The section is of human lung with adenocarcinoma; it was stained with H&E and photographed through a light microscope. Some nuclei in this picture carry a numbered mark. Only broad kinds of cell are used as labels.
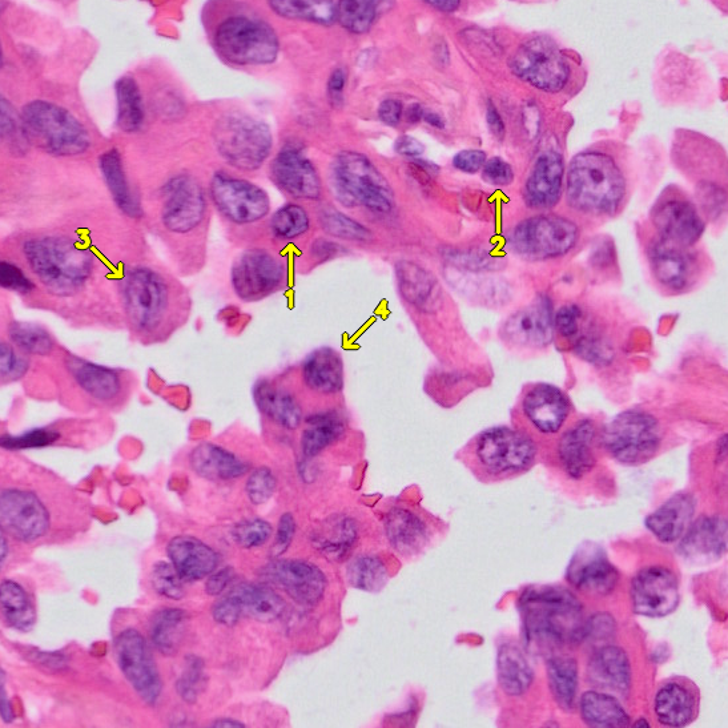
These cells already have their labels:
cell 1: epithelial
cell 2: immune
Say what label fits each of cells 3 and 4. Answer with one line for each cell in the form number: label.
3: epithelial
4: epithelial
